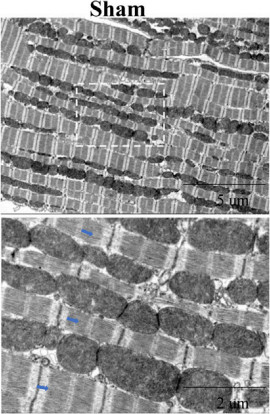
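Heart muscle cell with elongated, dark, densely packed mitochondria lying in regular rows between myofibrils. The myofilaments form straight bands with regular cross-striations running parallel to the mitochondrial rows. The mitochondria have a uniform, dense matrix with closely spaced cristae.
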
